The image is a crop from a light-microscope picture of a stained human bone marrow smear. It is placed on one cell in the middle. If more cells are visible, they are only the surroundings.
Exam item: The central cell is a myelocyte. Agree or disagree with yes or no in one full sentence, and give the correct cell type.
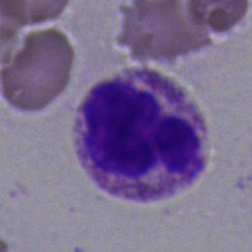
No, the central cell isn't a myelocyte, but an eosinophil.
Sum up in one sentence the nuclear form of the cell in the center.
If you check the nucleus, you will find it split into two or more lobes.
